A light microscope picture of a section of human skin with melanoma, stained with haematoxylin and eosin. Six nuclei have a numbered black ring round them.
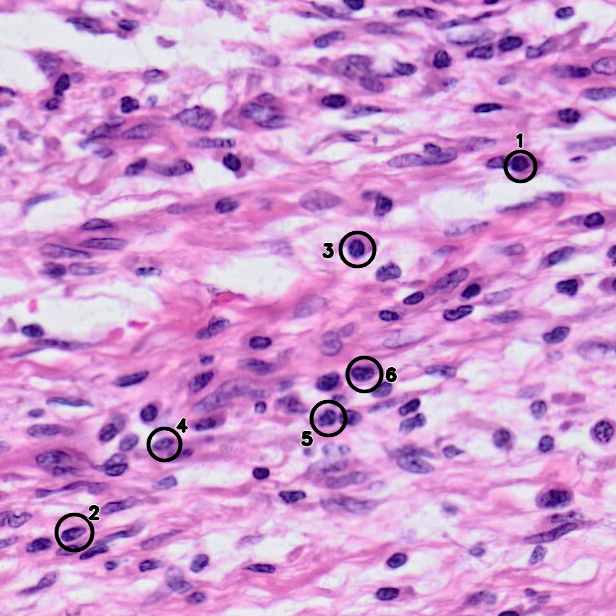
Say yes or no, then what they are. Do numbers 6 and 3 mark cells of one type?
Yes, cells 6 and 3 are alike in being plasma cells.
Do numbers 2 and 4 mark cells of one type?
No, the cell tagged 2 is a lymphocyte, whereas the cell tagged 4 is a plasma cell.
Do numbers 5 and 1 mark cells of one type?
No, mate, cell 5 is a lymphocyte and cell 1 is a plasma cell.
